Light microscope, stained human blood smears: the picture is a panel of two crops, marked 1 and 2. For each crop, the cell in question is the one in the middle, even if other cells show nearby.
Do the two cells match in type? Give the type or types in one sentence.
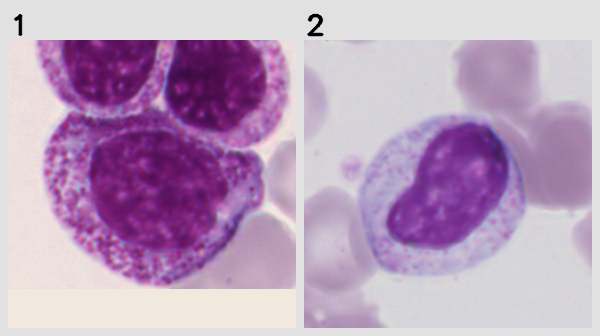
Yes, myelocytes occupy the centre of both crops.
